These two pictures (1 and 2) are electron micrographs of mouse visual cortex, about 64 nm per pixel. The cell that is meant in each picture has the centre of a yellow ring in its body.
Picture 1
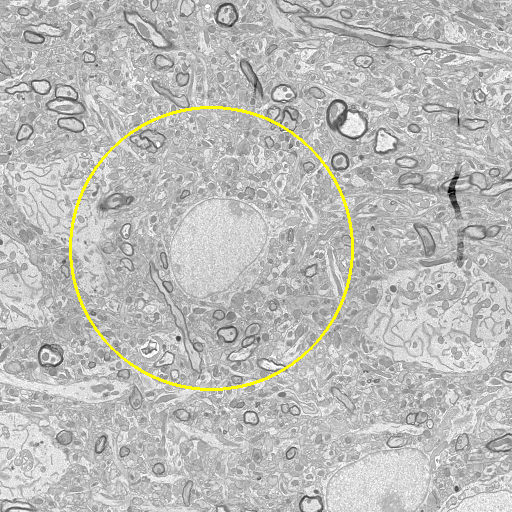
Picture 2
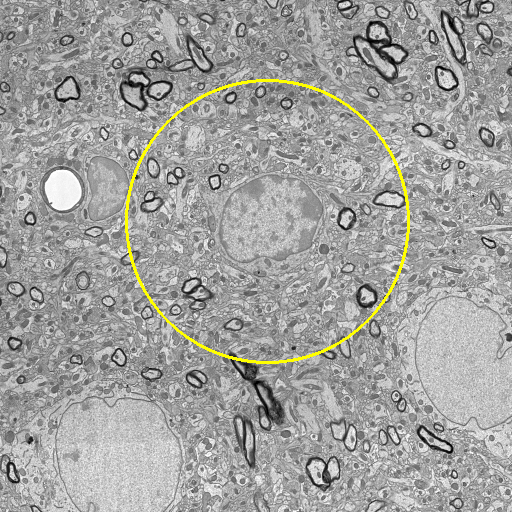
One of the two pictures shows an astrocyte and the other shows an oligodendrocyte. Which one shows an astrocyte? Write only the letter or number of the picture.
1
